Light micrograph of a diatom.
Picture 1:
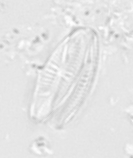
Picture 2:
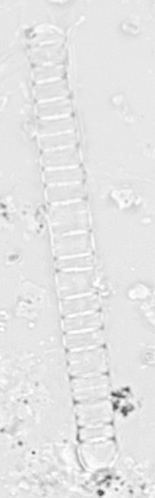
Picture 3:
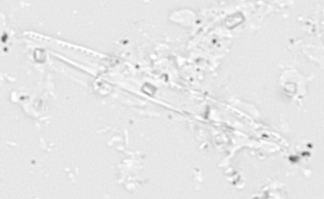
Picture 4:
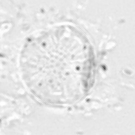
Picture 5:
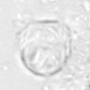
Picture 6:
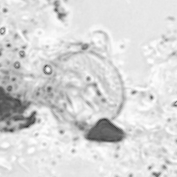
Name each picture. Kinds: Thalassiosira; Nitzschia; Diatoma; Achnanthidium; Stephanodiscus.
Picture 1: Achnanthidium
Picture 2: Diatoma
Picture 3: Nitzschia
Picture 4: Stephanodiscus
Picture 5: Thalassiosira
Picture 6: Stephanodiscus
